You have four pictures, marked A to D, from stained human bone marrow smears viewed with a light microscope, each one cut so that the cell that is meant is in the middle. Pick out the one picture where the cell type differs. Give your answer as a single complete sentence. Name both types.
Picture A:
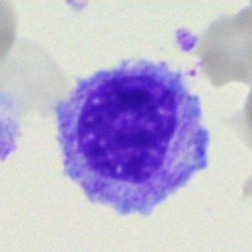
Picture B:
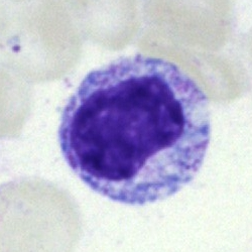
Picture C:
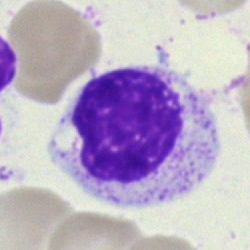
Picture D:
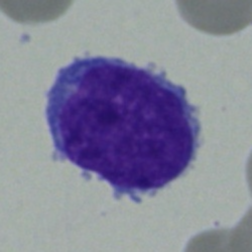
Picture D is the odd one out: it shows a blast, while the others show myelocytes.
